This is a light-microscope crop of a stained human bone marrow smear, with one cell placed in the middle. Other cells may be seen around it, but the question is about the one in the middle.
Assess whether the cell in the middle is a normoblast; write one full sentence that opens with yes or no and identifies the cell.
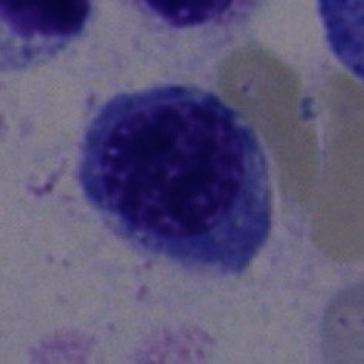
Yes, the centred cell is categorised as a normoblast.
